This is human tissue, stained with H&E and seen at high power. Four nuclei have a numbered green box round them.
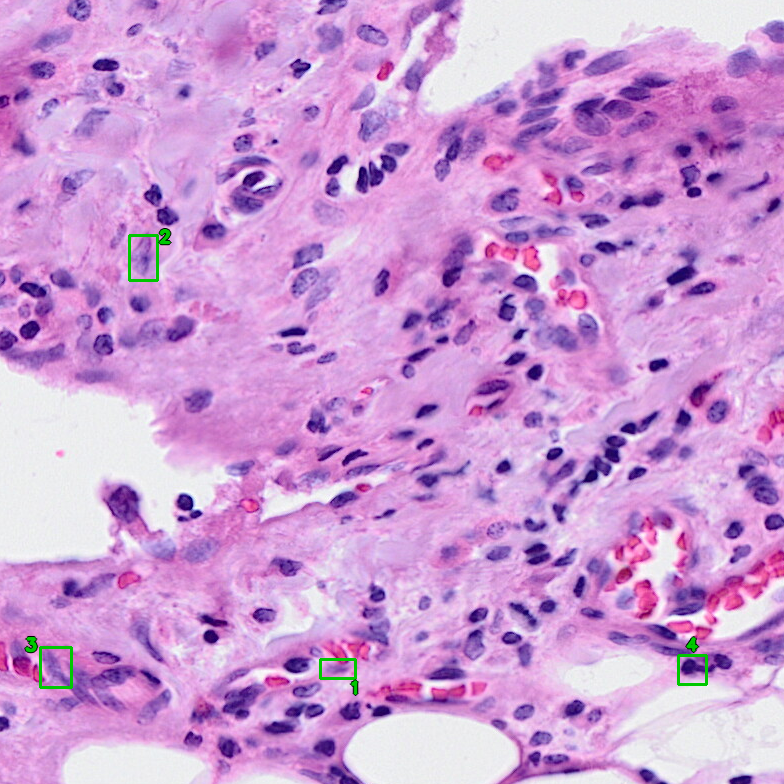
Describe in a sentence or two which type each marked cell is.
Cells 1 and 3 are endothelial cells. Cell 2 is a fibroblast. Cell 4 is a lymphocyte.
